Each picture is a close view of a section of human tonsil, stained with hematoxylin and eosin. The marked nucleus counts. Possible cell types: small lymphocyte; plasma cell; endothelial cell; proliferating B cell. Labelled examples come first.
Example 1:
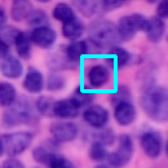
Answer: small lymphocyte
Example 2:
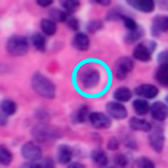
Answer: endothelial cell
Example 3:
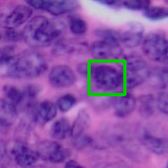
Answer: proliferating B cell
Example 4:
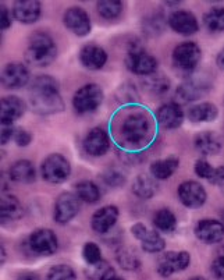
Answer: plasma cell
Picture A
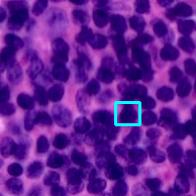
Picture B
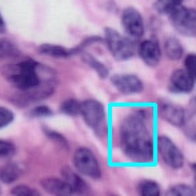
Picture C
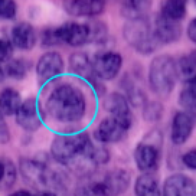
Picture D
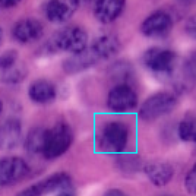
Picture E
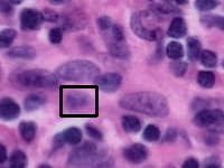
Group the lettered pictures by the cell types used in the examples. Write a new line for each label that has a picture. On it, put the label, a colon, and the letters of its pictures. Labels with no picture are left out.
small lymphocyte: A
plasma cell: D
endothelial cell: E
proliferating B cell: B, C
